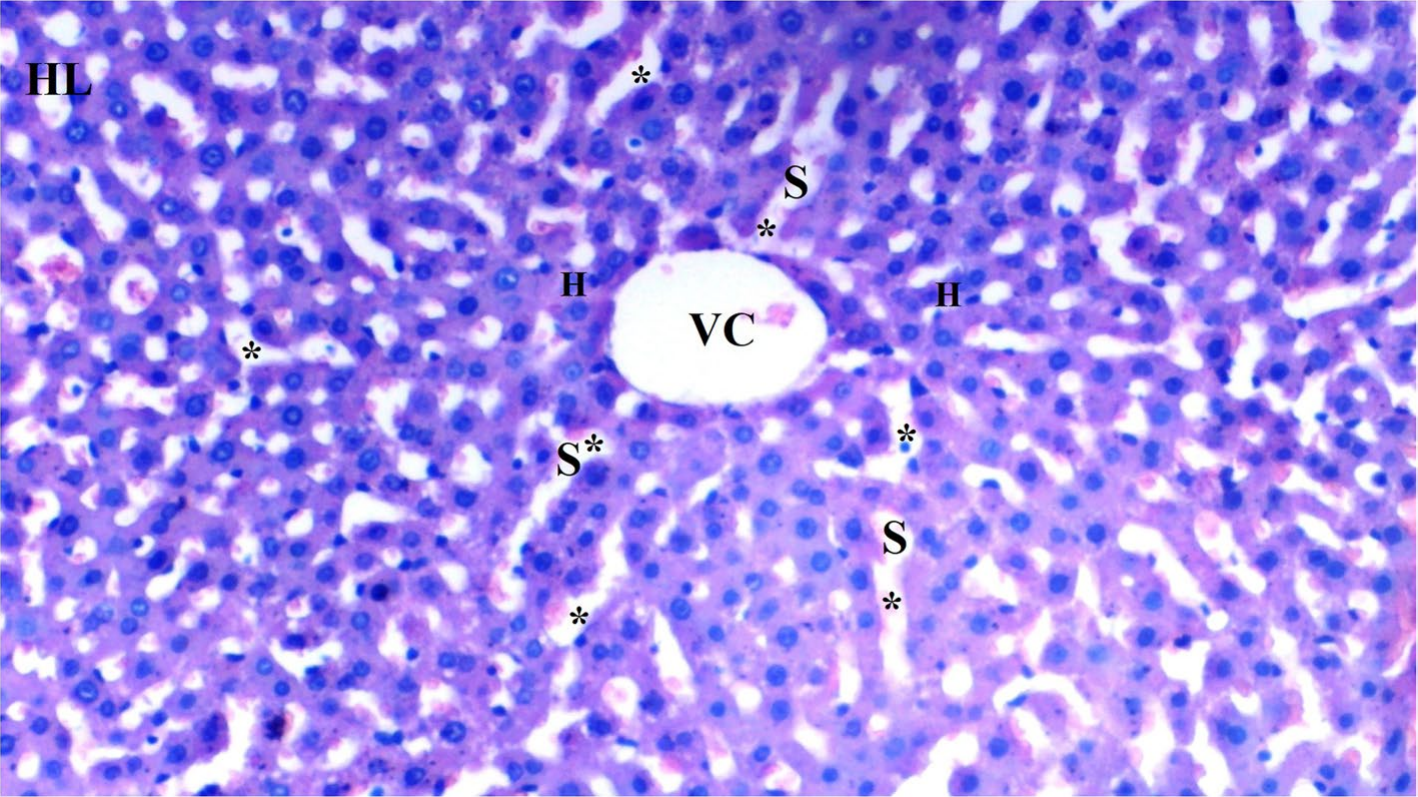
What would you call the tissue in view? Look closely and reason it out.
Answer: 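Cords of polygonal cells with round central nuclei radiate from a large round empty vessel. Narrow pale channels run between the cell cords toward the vessel.
Answer: hepatic tissue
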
